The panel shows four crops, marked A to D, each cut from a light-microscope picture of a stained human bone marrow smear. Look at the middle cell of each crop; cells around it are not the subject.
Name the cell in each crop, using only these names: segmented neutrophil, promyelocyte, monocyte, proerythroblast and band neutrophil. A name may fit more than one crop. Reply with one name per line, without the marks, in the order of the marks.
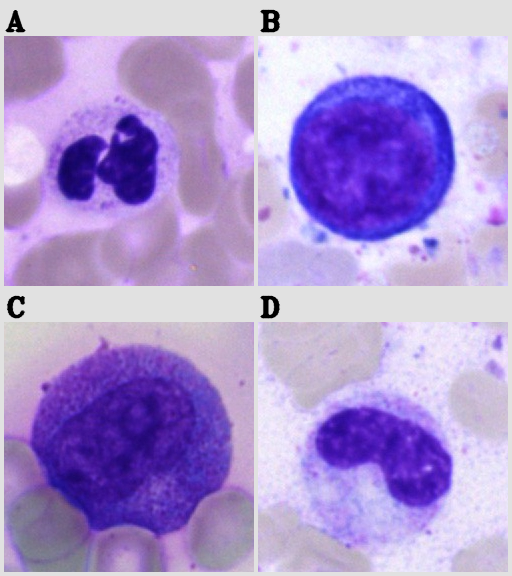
segmented neutrophil
proerythroblast
promyelocyte
band neutrophil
